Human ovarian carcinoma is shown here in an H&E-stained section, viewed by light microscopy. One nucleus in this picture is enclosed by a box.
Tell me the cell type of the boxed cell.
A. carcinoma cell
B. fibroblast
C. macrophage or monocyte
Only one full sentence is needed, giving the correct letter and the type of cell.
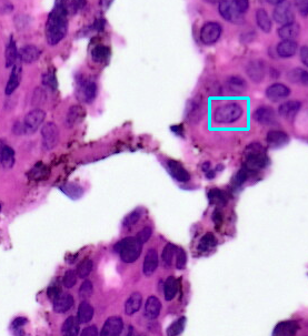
Here the right answer is C, with the boxed cell being a macrophage or monocyte.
